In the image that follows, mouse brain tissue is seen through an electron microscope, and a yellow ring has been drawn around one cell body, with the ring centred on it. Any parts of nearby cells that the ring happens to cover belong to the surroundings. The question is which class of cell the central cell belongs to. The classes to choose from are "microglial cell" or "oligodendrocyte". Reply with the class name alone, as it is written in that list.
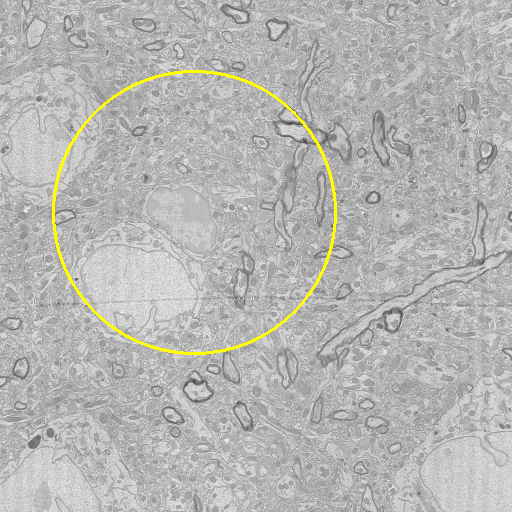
microglial cell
